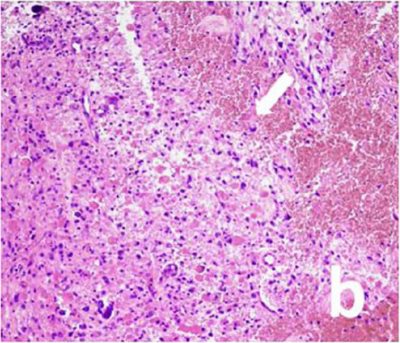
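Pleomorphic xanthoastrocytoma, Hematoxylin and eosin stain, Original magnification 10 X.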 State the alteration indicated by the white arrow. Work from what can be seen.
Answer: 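Much red-stained debris and blood lies beside the cellular tumour.
Hence: necrosis.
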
